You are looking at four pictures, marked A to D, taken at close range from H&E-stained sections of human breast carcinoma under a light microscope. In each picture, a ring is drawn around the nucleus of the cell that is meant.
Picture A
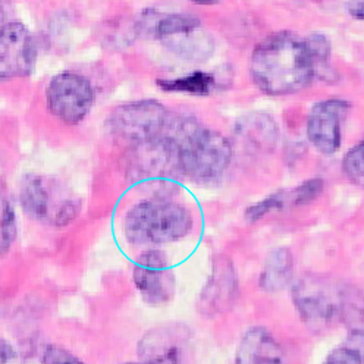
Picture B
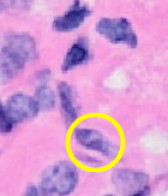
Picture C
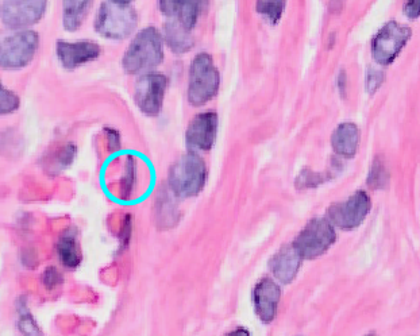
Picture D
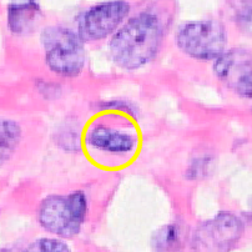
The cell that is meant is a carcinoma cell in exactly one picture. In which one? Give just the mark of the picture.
A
